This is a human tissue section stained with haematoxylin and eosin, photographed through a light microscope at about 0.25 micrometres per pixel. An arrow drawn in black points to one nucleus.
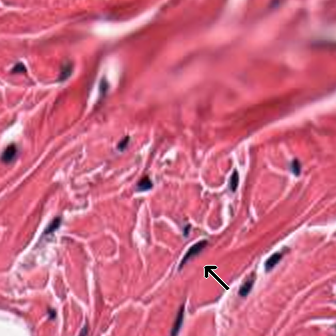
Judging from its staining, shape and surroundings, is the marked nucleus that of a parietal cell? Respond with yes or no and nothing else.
no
